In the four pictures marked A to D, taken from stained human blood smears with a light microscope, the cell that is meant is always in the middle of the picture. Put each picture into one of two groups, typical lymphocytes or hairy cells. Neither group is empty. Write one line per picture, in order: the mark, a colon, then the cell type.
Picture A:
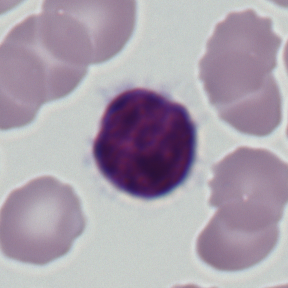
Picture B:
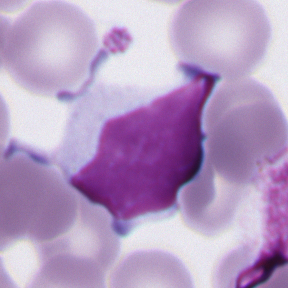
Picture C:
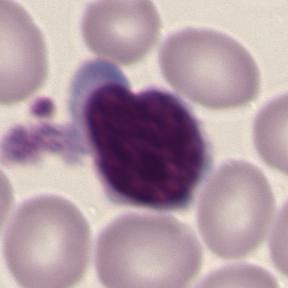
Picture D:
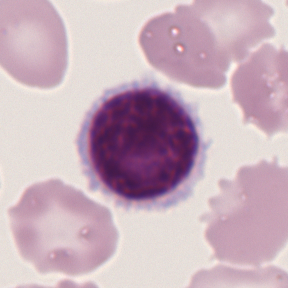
A: hairy cell
B: typical lymphocyte
C: typical lymphocyte
D: hairy cell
